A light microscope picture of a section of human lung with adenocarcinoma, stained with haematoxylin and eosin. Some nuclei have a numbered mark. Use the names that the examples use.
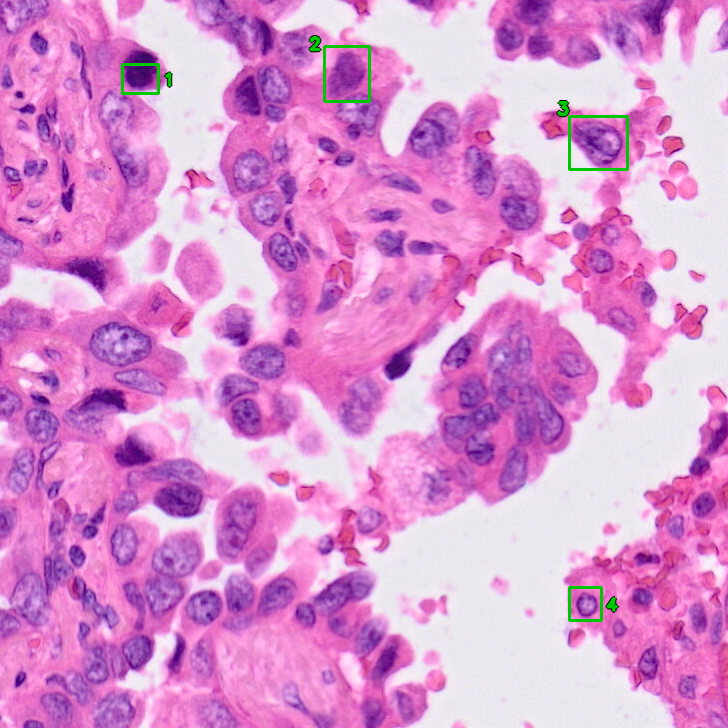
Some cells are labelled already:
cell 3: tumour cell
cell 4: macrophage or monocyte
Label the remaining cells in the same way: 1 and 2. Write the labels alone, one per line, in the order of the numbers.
tumour cell
tumour cell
